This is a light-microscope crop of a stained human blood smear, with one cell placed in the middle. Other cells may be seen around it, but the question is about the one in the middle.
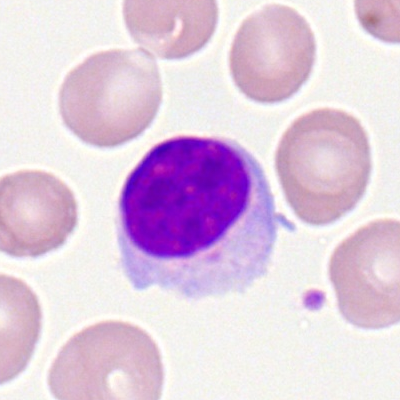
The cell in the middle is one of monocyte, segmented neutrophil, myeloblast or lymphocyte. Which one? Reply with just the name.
lymphocyte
